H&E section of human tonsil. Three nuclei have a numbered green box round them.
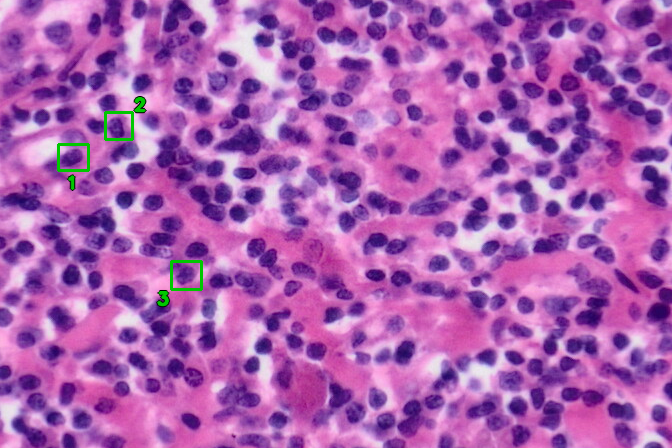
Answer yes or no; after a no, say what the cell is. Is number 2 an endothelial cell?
No, it is a plasma cell.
